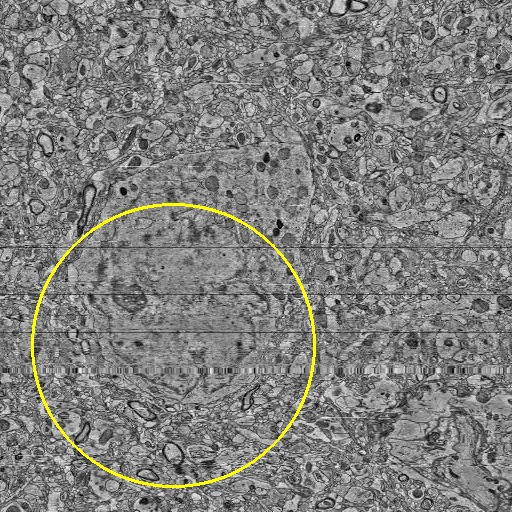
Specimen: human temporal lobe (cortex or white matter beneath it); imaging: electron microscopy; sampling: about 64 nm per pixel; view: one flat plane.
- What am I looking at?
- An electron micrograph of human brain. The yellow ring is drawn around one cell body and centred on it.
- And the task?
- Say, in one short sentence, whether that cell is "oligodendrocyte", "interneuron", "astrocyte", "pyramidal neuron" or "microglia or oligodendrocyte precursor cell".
The cell in the middle of the ring is an interneuron.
